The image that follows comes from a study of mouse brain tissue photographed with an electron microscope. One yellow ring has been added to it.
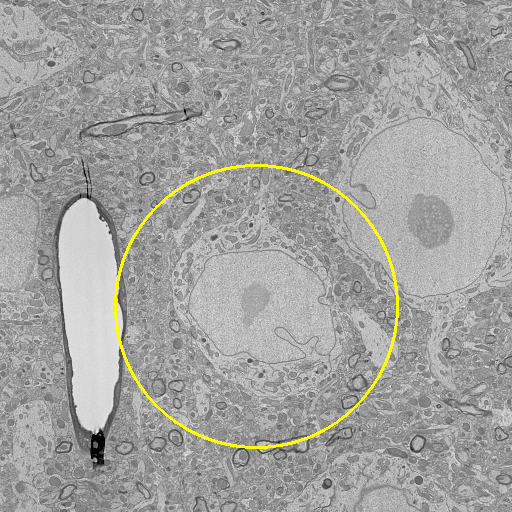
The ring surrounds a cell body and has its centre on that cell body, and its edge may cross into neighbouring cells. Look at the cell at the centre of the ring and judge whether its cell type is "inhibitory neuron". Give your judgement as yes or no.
yes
